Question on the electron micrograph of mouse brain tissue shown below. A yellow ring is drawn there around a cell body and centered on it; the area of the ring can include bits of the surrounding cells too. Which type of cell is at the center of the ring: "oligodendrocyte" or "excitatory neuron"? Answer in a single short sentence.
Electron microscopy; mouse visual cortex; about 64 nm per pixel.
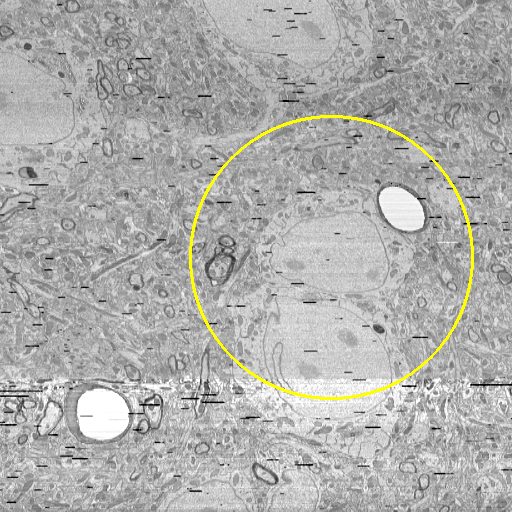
The ring is centered on an excitatory neuron.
